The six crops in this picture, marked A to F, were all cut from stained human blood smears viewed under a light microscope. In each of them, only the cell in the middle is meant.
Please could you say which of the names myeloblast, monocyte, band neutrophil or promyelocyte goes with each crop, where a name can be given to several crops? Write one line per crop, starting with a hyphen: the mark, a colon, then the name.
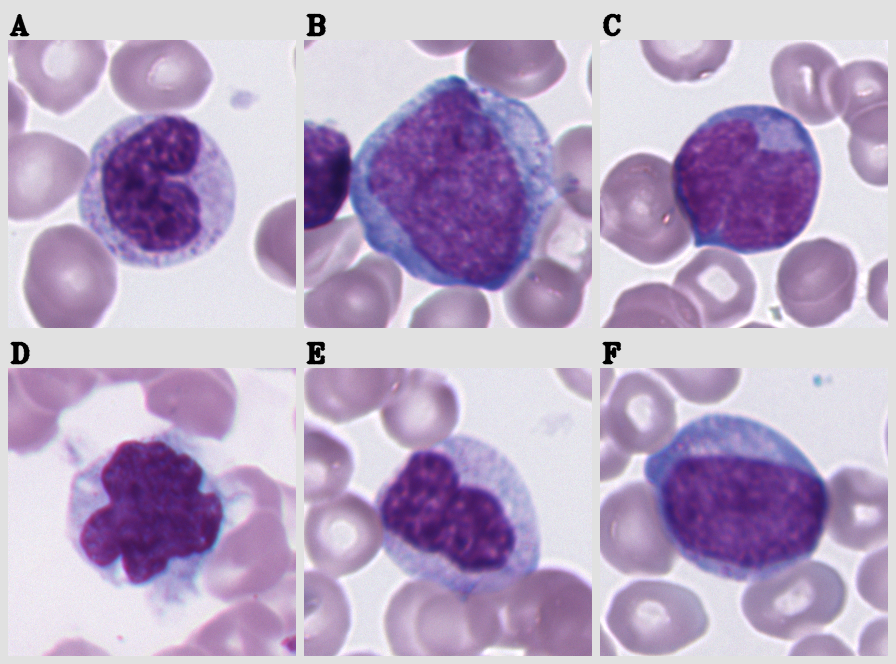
- A: band neutrophil
- B: promyelocyte
- C: myeloblast
- D: monocyte
- E: band neutrophil
- F: promyelocyte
